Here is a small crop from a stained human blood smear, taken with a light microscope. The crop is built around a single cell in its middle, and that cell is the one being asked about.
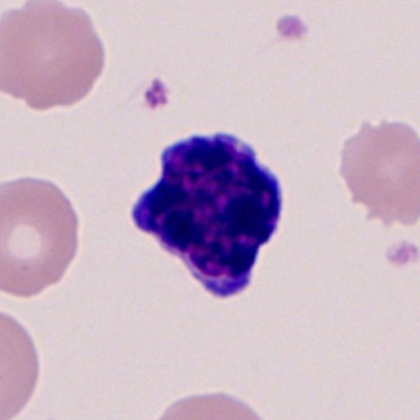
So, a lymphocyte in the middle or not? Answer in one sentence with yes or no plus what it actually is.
Yes, as for the central cell, it is a lymphocyte.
